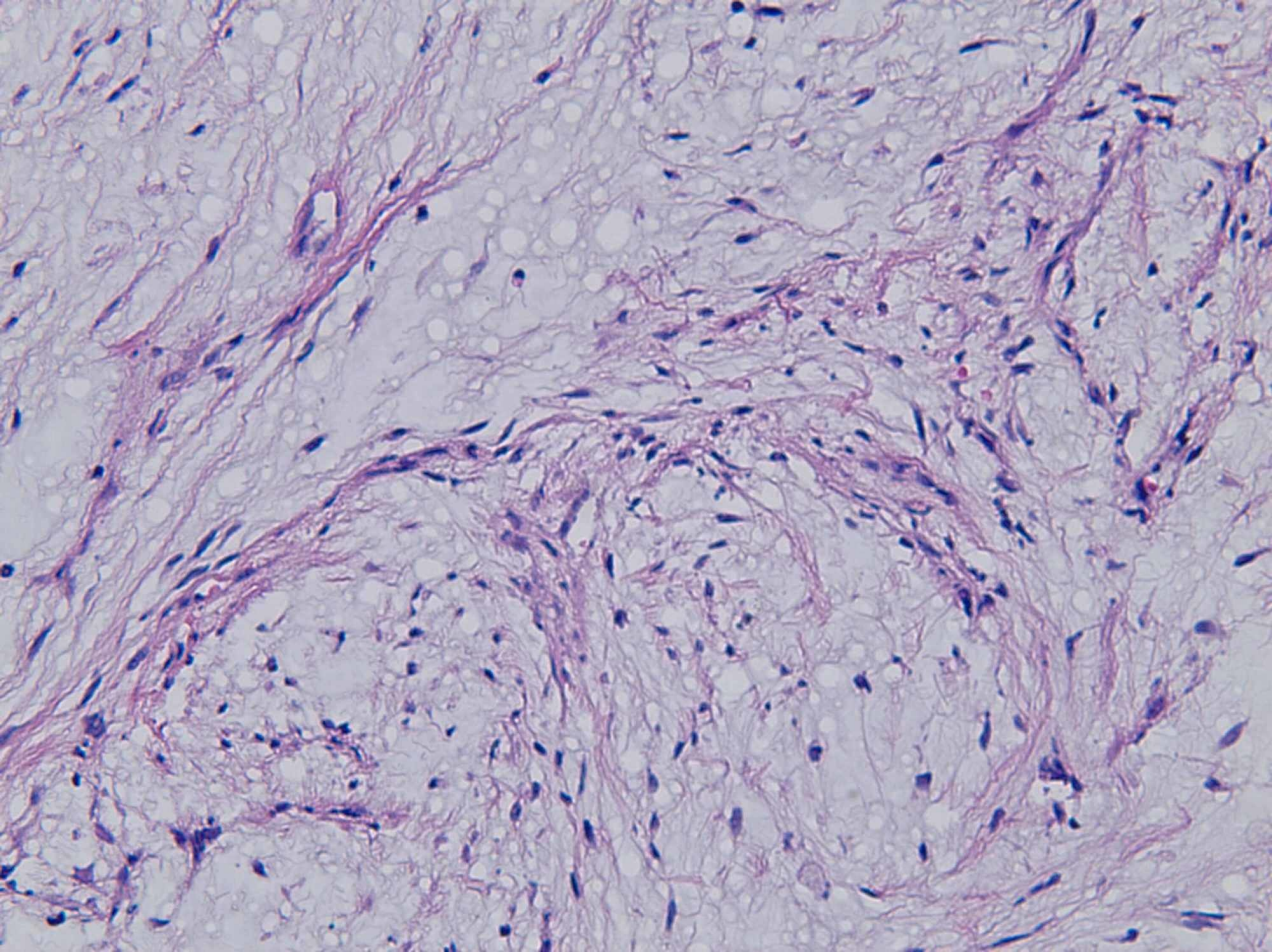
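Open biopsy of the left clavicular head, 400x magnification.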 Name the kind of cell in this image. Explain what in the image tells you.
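Spindle cells. Cells have elongated, tapering nuclei. Cells are arranged in loose streaming bundles along pink fibrillary strands.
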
